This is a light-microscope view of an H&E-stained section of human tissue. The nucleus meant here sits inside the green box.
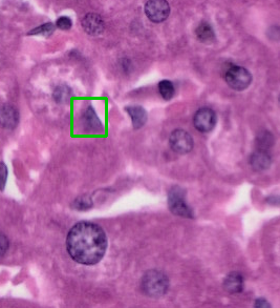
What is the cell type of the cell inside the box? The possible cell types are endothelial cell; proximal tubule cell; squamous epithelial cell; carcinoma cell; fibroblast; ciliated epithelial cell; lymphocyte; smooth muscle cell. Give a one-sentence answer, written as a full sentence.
For cell typing purposes, the cell inside the box is an endothelial cell.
